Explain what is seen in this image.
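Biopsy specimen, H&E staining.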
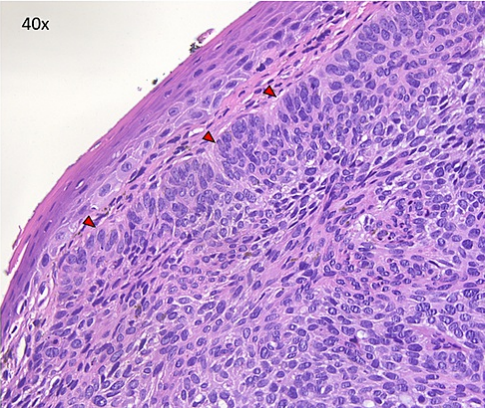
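A dermal nest of keratinocytes is shown at high magnification beneath a thin pink-staining surface epithelium. The nest consists of crowded cells with oval to elongated, dark purple nuclei and scant pale pink cytoplasm. At the outer border of the nest the cells line up in a row, their long nuclei set side by side like a palisade facing the surrounding pink stroma. A narrow band of pale pink connective tissue separates the nest from the overlying epithelium.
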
